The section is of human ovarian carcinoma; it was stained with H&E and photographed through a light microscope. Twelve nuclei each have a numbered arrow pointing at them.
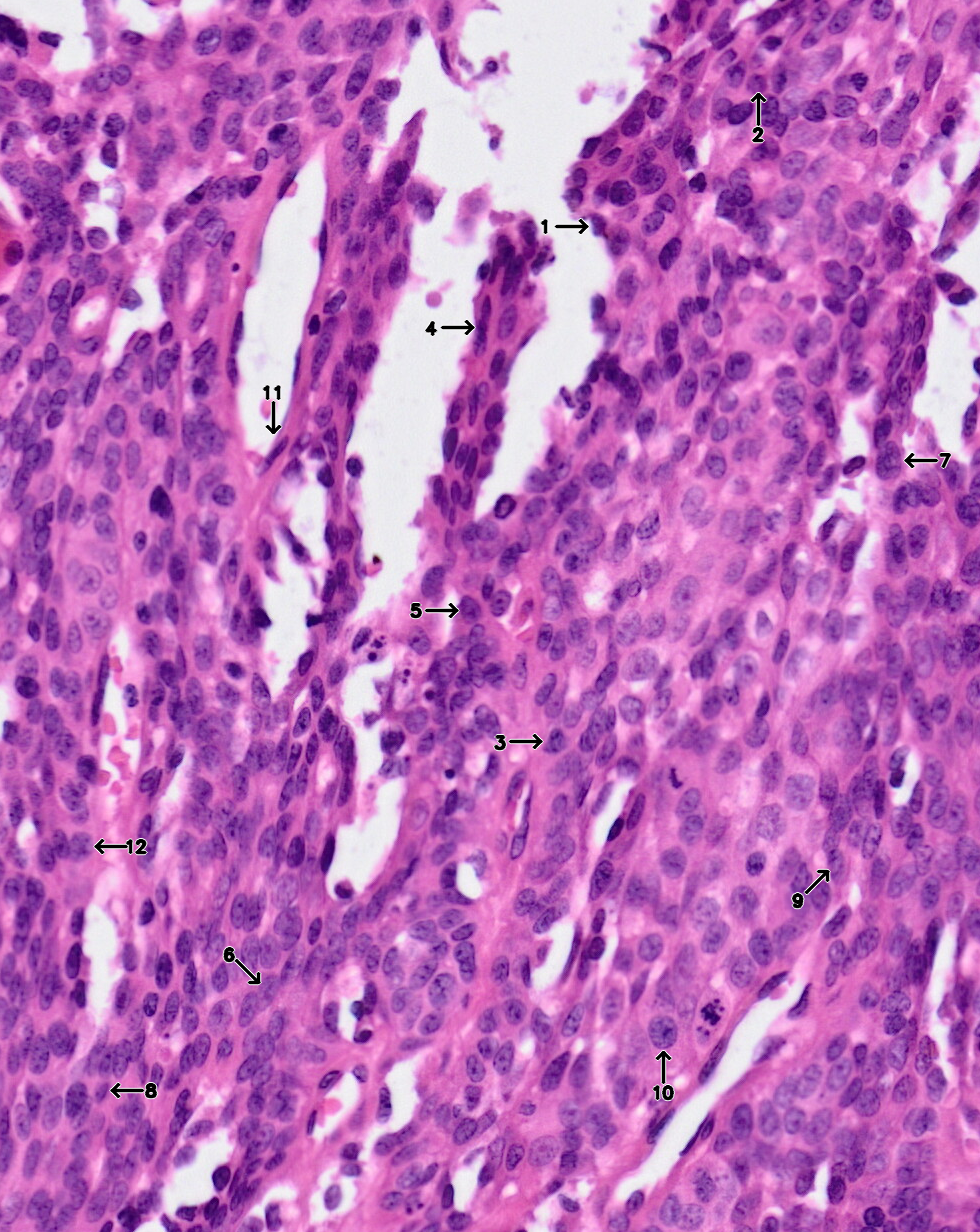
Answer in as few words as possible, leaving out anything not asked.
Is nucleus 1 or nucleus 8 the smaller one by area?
8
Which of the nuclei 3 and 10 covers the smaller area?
3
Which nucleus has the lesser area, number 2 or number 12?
2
